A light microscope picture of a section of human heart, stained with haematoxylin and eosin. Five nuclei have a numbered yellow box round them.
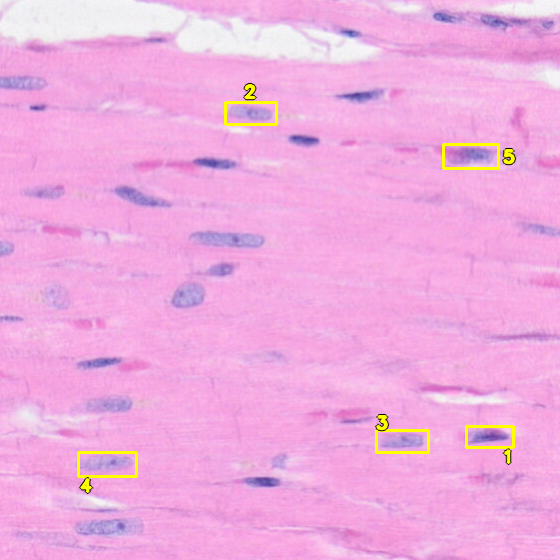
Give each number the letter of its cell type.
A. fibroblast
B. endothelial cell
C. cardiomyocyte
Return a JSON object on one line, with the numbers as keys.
{"1": "B", "2": "C", "3": "C", "4": "C", "5": "B"}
